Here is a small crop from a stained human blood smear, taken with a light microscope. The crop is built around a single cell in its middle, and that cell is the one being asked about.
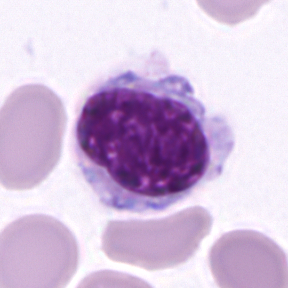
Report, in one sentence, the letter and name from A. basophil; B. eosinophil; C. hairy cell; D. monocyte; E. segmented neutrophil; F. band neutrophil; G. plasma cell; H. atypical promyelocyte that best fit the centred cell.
The one cell at the centre is a plasma cell, as correctly stated in option G.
